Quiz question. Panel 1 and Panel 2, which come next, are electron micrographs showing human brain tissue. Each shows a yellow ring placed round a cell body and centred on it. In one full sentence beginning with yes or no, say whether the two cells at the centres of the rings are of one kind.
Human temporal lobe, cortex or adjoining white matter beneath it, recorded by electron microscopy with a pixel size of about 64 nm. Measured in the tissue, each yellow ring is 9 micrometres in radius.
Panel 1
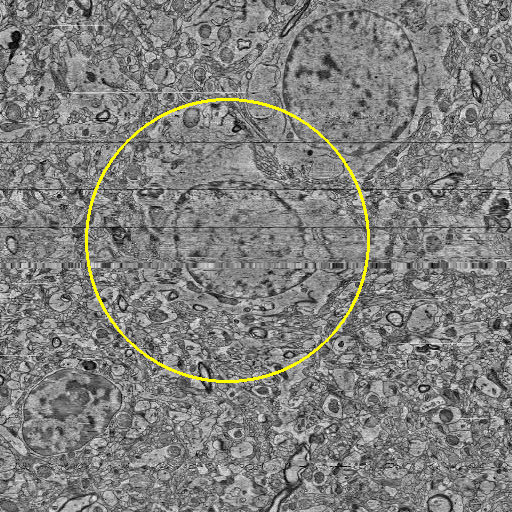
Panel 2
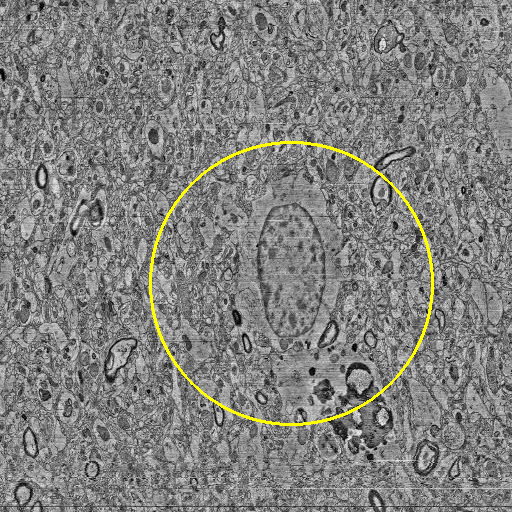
Yes, Panel 1 and Panel 2 show one kind of cell at the centre of the ring.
